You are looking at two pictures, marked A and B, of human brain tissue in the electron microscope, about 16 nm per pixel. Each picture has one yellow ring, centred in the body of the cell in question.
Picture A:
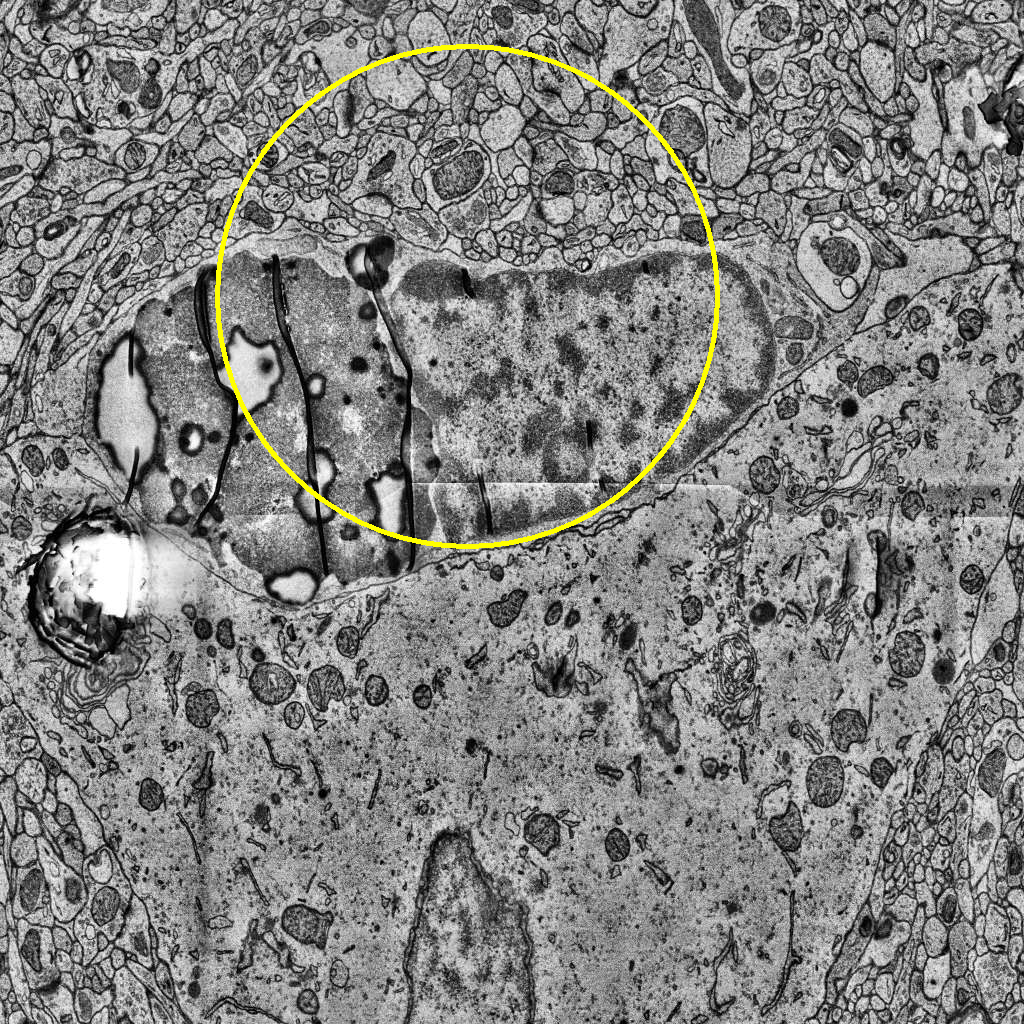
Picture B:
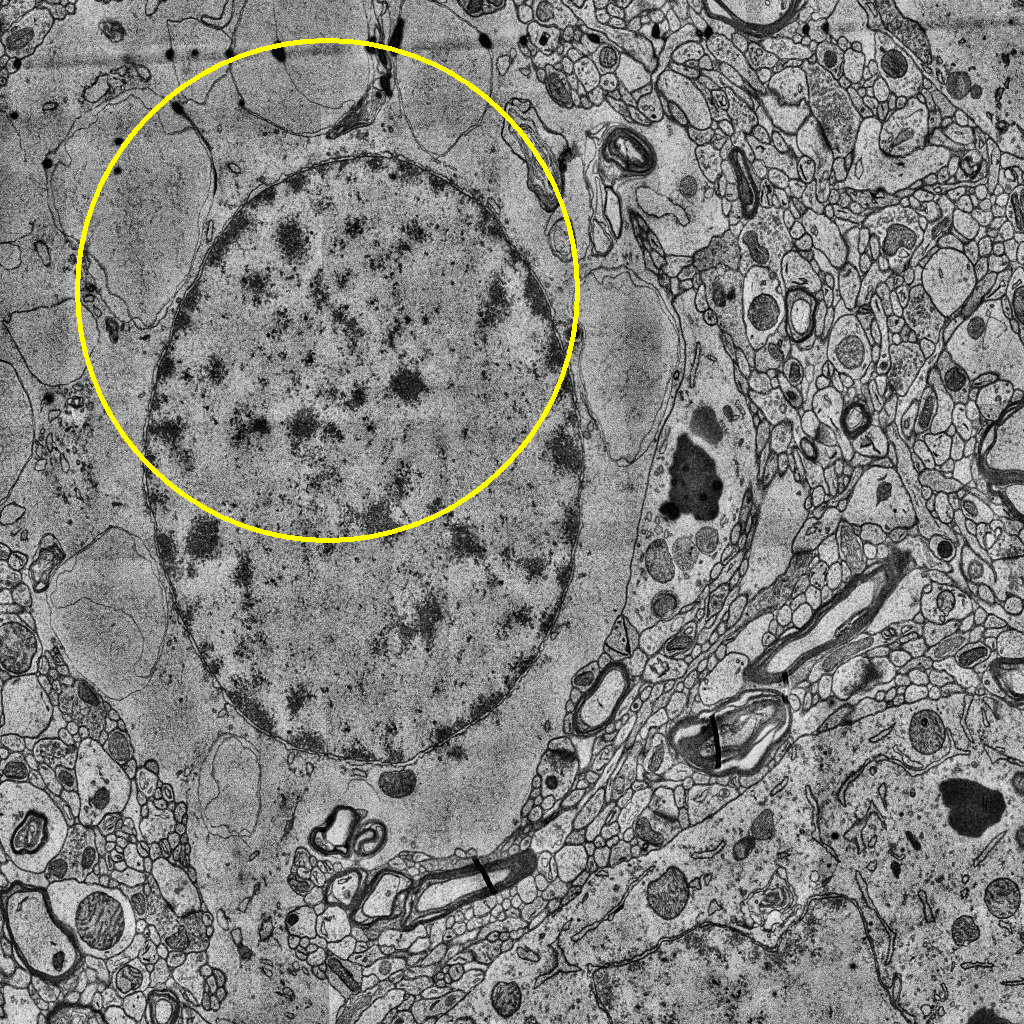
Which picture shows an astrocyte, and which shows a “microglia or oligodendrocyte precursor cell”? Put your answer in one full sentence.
Picture A is of a “microglia or oligodendrocyte precursor cell”, and picture B is of an astrocyte.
